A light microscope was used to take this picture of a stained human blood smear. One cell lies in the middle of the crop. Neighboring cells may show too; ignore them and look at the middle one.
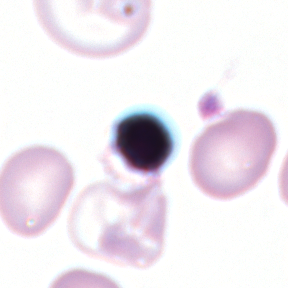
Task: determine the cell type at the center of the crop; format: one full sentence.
The central cell, amid any neighbouring cells, is a normoblast.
